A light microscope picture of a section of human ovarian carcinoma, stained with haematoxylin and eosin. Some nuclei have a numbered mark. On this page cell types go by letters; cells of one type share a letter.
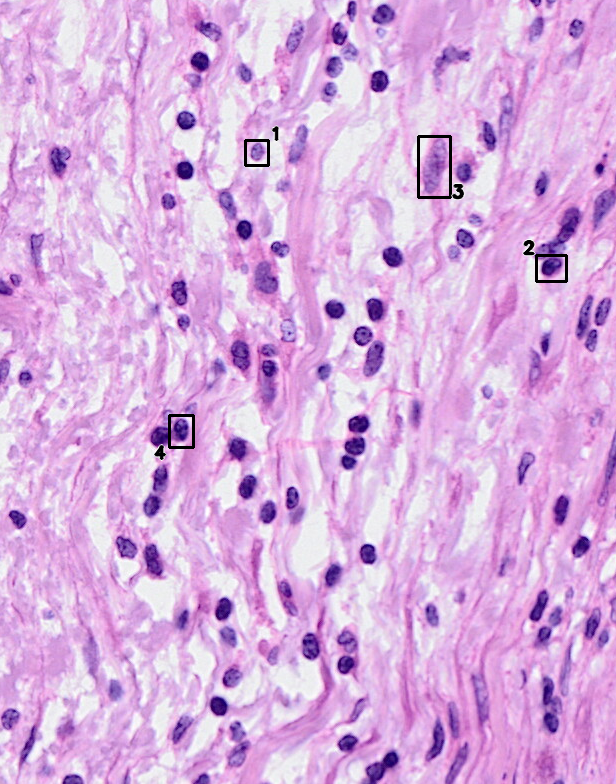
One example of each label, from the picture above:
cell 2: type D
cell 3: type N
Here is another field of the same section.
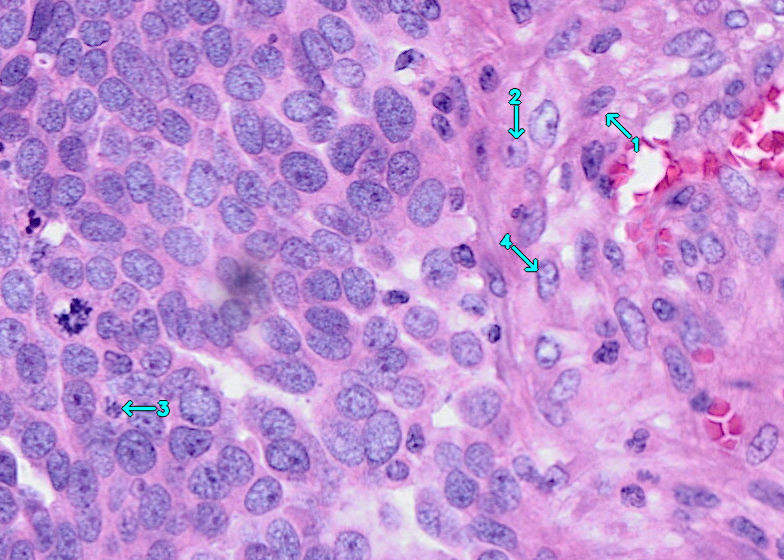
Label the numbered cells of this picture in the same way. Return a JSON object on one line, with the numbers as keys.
{"1": "type N", "2": "type N", "3": "type D", "4": "type N"}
